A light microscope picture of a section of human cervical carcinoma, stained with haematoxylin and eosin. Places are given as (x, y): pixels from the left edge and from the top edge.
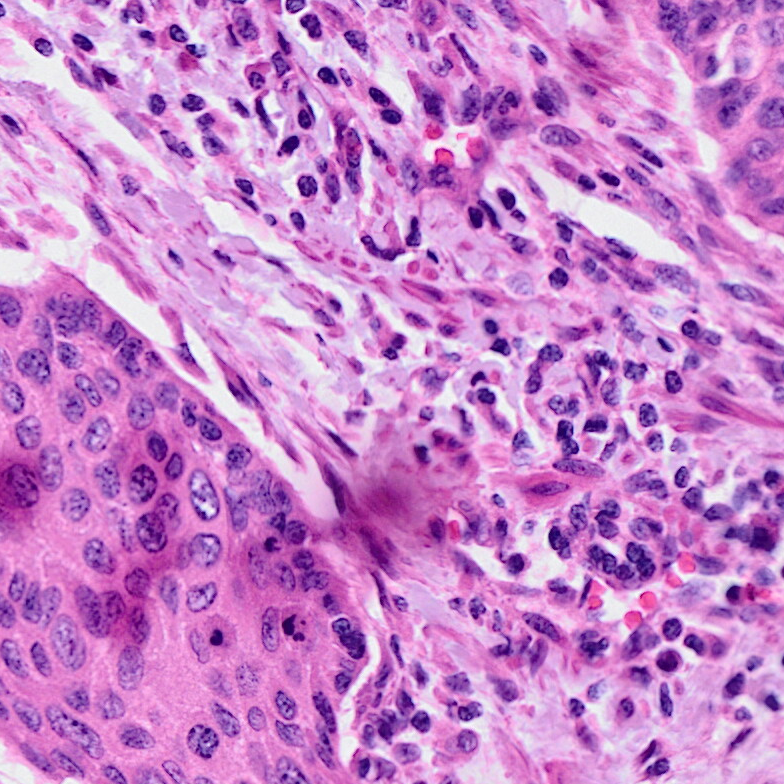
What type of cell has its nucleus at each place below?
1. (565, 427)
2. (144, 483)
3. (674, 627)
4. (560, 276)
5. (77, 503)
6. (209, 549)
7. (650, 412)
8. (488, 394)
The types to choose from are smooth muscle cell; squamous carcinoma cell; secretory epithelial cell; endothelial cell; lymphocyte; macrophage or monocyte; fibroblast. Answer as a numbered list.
1. lymphocyte
2. squamous carcinoma cell
3. lymphocyte
4. lymphocyte
5. squamous carcinoma cell
6. squamous carcinoma cell
7. lymphocyte
8. lymphocyte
